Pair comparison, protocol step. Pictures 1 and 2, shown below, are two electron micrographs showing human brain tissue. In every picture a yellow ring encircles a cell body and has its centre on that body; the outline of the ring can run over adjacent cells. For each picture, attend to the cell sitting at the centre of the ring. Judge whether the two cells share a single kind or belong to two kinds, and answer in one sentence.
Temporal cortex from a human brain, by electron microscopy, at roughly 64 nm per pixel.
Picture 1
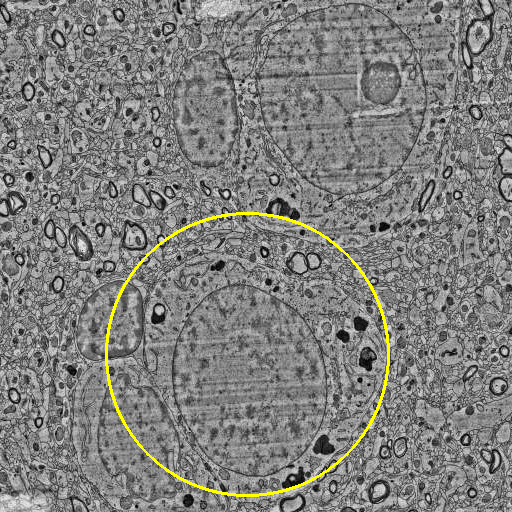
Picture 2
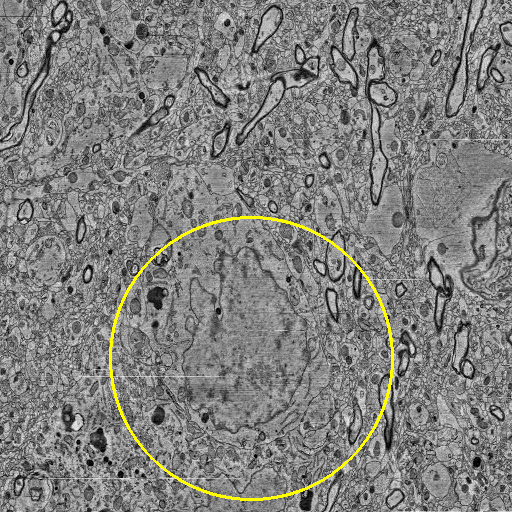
The two cells at the ring centres in Picture 1 and Picture 2 belong to two kinds.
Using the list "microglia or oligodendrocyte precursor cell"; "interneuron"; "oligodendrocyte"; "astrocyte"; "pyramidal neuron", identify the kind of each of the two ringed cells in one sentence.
The first is a pyramidal neuron and the second is an interneuron.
